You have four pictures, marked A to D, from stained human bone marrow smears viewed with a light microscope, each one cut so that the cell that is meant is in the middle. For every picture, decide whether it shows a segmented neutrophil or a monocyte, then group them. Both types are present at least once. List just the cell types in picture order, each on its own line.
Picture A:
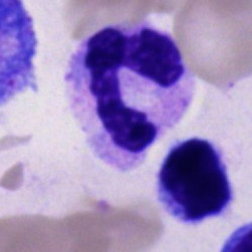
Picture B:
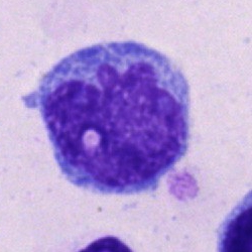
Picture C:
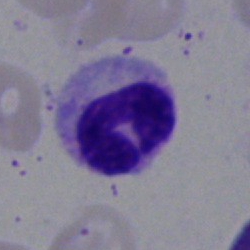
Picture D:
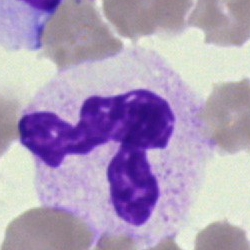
segmented neutrophil
monocyte
segmented neutrophil
segmented neutrophil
